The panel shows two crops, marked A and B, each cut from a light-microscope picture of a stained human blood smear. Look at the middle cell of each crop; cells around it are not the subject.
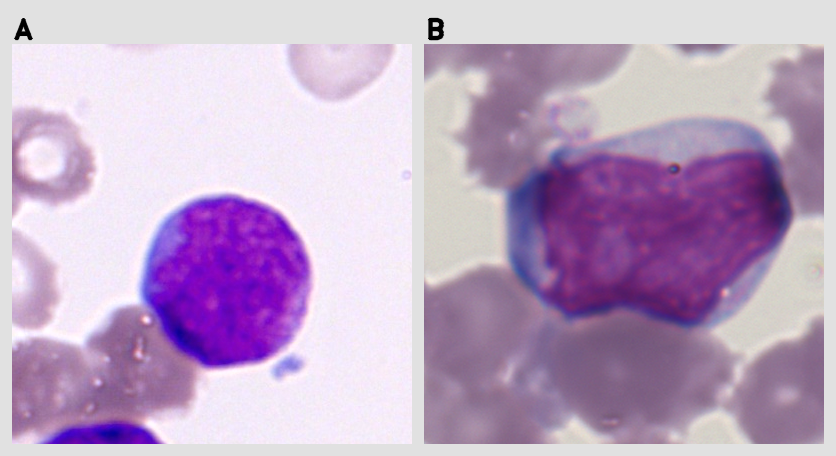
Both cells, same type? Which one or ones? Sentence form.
Yes, that is right, both crops show blasts.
